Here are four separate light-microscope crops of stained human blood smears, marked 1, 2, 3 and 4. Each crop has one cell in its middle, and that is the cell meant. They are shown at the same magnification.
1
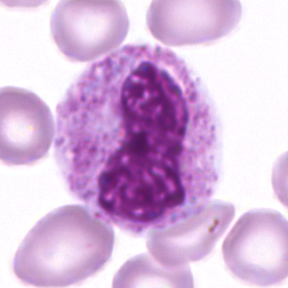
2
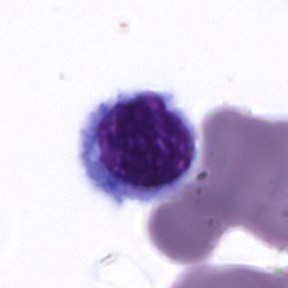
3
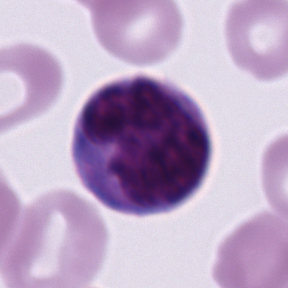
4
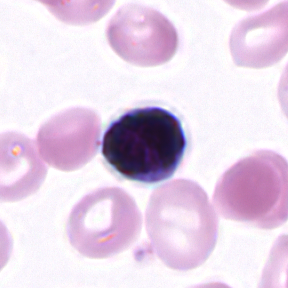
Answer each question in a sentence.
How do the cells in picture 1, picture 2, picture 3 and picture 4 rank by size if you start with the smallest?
From the smallest up, the order is 4, 2, 3, 1.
